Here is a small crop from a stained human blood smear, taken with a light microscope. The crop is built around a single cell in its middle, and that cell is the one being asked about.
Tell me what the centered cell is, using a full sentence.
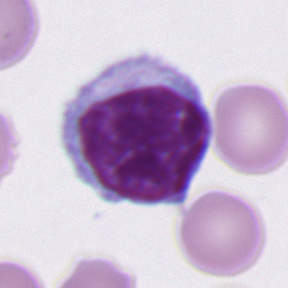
Occupying the centre of the crop is a lymphocyte.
